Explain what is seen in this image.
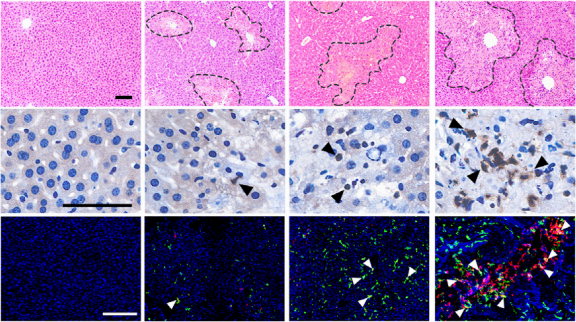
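Top row, pink-and-purple stain: the leftmost section shows intact hepatocyte plates around small veins. In the other three, dashed lines outline pale, irregular pink zones that grow larger from left to right. Middle row, higher magnification with blue counterstain: hepatocytes are large, with round blue nuclei and pale cytoplasm. Small brown-stained cells with dark nuclei, marked by black arrowheads, lie between them. These become more frequent toward the right and cluster in the last column. Bottom row, fluorescence with blue nuclei: green cells are sparse at first and increase toward the right. The rightmost image shows dense red and yellow-overlap cells marked by white arrowheads.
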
